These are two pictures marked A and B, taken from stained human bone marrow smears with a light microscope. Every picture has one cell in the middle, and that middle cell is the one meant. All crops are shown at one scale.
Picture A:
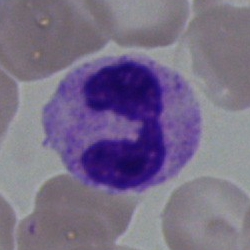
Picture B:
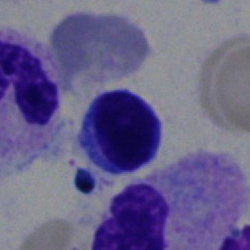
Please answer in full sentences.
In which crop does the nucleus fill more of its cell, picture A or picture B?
Of the two, the nucleus in picture B makes up the greater part of its cell.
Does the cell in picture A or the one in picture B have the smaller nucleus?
The nucleus in picture B is smaller; the one in picture A has about 2 times its area.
